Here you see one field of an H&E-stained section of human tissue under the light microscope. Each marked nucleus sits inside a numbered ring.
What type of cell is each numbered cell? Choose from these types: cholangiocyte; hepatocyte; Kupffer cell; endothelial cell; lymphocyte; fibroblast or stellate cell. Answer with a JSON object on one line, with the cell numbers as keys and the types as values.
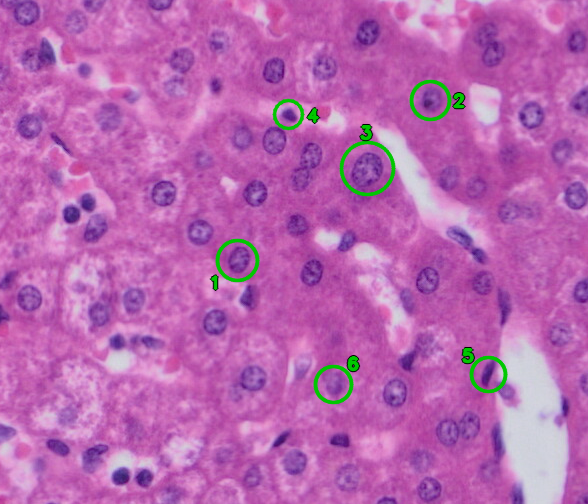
{"1": "hepatocyte", "2": "hepatocyte", "3": "hepatocyte", "4": "lymphocyte", "5": "fibroblast or stellate cell", "6": "hepatocyte"}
